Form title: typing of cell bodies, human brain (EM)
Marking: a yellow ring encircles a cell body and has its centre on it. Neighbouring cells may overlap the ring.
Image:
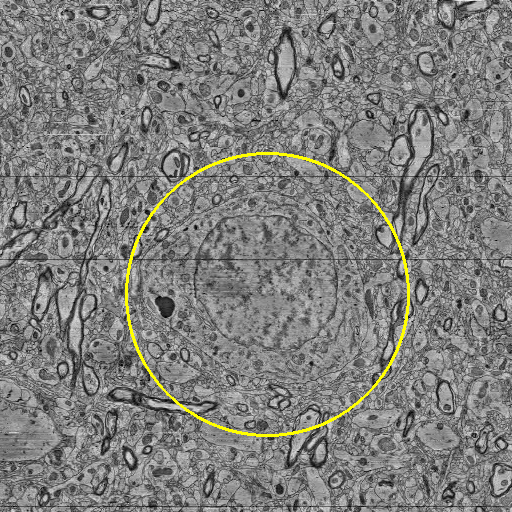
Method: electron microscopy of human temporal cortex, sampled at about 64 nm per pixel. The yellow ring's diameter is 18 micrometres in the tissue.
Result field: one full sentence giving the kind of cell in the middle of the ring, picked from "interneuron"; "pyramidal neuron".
In the picture, the ring is centred on an interneuron, whose cell body it encircles.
